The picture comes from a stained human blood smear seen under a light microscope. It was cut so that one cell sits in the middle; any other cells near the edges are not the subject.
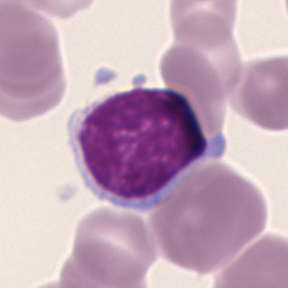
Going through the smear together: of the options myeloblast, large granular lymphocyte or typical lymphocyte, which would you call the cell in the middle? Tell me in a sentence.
What sits at the centre of this crop is a large granular lymphocyte.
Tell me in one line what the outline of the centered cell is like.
Its surface contour departs from smoothness through ragged edges or outward projections.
